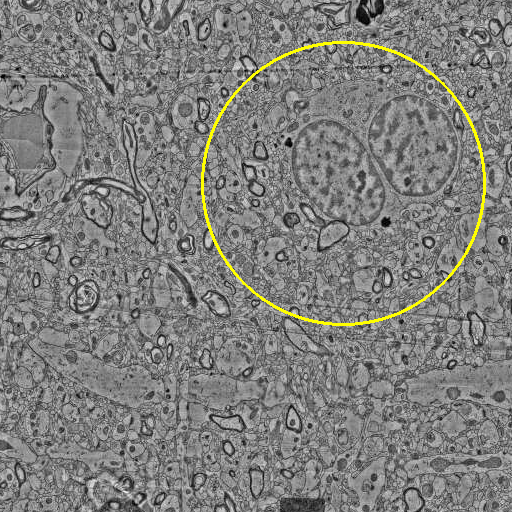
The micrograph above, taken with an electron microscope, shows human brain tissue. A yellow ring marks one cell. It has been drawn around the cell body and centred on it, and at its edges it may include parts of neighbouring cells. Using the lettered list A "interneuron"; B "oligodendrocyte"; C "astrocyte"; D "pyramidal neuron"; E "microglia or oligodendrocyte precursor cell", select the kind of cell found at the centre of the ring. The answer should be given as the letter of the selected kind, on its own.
B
